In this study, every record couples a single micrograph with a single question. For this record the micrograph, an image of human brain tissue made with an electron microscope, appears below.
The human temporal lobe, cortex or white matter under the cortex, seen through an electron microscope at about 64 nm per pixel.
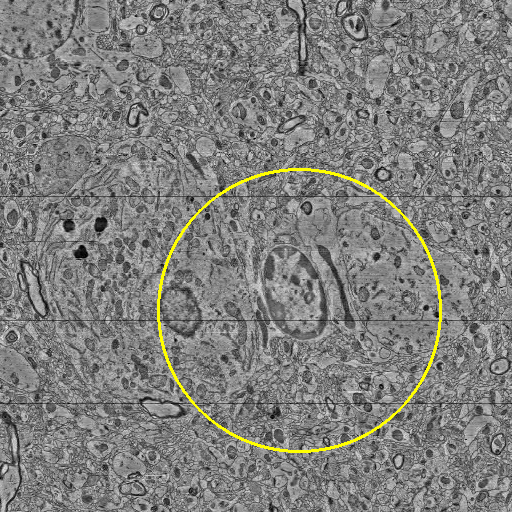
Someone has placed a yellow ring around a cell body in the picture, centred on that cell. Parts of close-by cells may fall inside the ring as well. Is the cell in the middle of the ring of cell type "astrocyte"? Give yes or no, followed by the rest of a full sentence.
No, the cell centred in the ring shown in the picture has a different cell type.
